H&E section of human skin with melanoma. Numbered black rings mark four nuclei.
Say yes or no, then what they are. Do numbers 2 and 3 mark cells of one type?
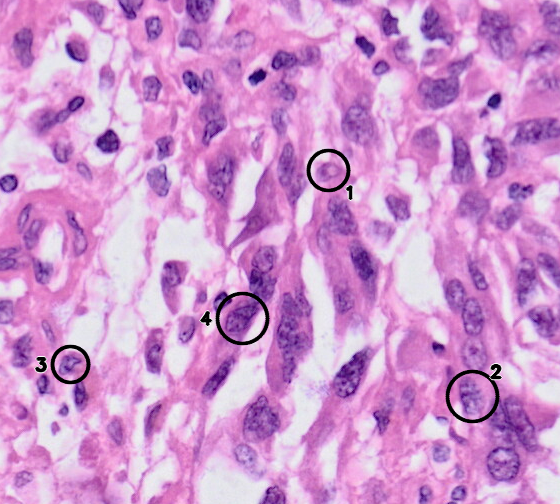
No, cell 2 is identified as a melanoma cell, and cell 3 is identified as a macrophage or monocyte.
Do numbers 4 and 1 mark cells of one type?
Yes, cells 4 and 1 are alike in being melanoma cells.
